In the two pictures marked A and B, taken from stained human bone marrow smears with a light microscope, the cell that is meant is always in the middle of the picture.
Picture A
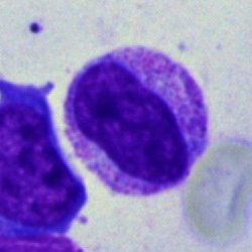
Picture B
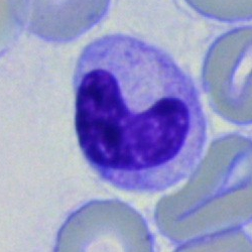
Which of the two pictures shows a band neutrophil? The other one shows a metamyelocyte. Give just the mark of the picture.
B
